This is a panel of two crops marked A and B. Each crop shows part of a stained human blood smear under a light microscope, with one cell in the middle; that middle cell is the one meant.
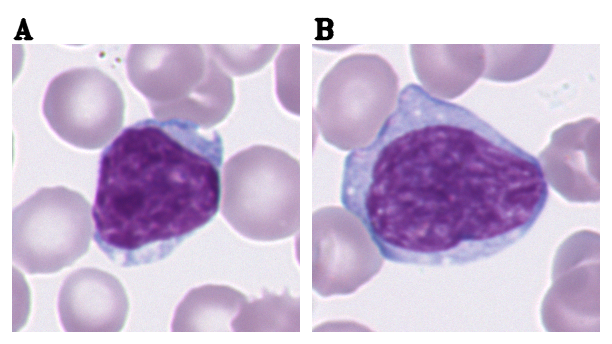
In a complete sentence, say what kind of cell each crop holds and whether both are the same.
No, what crop A shows is a lymphocyte, and what crop B shows is a blast.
